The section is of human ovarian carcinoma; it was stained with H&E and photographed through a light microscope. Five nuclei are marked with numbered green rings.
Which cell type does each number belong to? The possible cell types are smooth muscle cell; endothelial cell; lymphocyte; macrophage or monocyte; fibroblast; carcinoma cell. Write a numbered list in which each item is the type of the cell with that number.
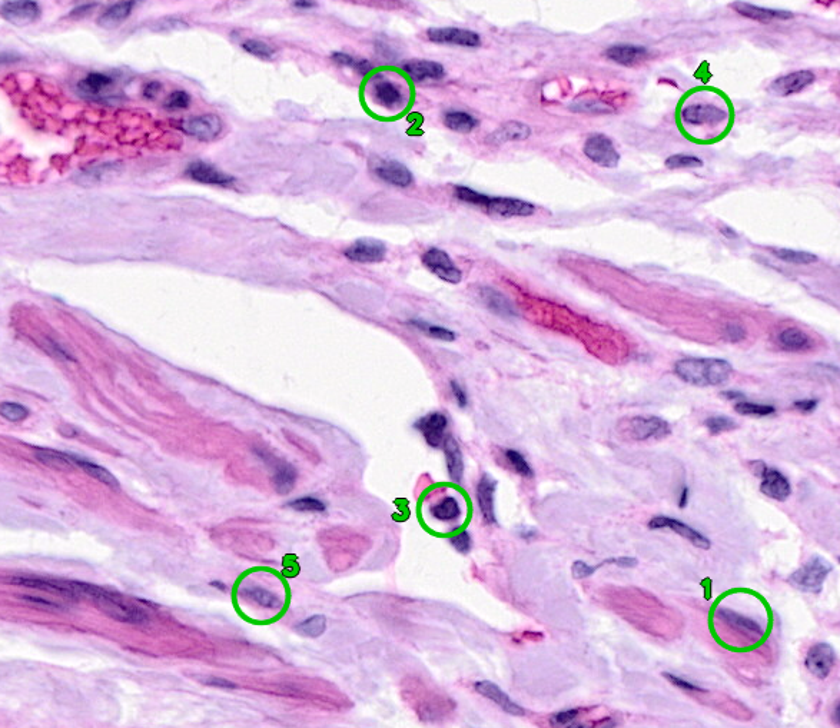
1. smooth muscle cell
2. lymphocyte
3. lymphocyte
4. macrophage or monocyte
5. endothelial cell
